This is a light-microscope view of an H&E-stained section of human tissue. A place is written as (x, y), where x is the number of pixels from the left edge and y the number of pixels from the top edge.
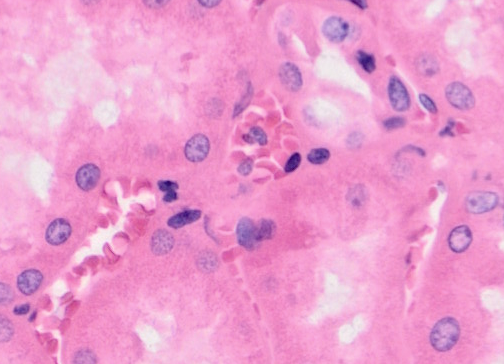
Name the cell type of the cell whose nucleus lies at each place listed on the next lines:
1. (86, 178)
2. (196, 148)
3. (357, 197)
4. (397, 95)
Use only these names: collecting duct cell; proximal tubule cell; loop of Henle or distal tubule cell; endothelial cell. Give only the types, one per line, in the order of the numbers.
proximal tubule cell
proximal tubule cell
proximal tubule cell
collecting duct cell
